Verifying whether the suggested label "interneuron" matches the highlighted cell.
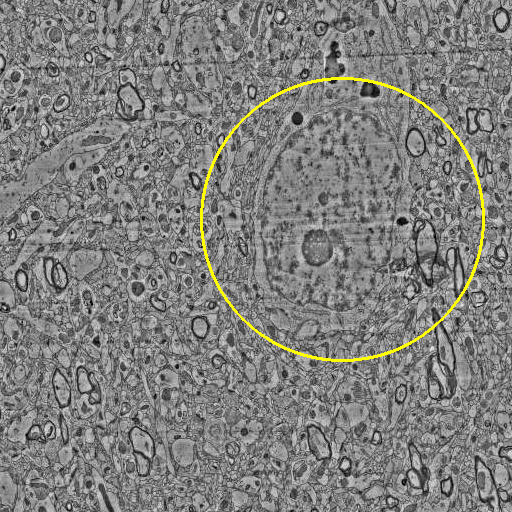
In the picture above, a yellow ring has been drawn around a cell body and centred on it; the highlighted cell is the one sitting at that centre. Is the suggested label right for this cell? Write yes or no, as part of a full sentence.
Yes, the suggested label is right for the cell centred in the yellow ring.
